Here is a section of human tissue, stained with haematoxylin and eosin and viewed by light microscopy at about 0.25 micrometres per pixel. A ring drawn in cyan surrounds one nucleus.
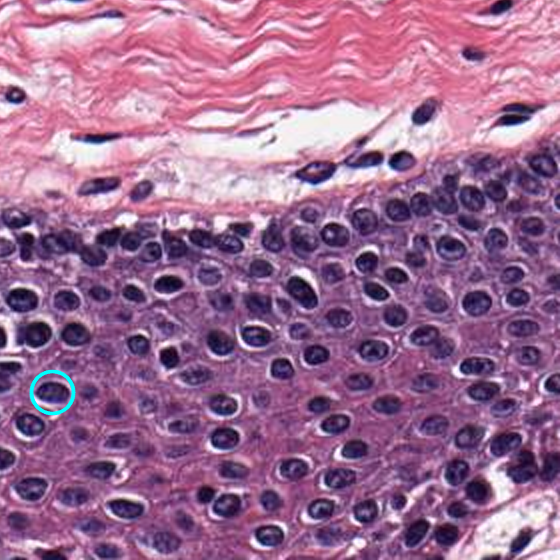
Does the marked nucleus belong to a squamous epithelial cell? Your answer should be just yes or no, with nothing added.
yes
